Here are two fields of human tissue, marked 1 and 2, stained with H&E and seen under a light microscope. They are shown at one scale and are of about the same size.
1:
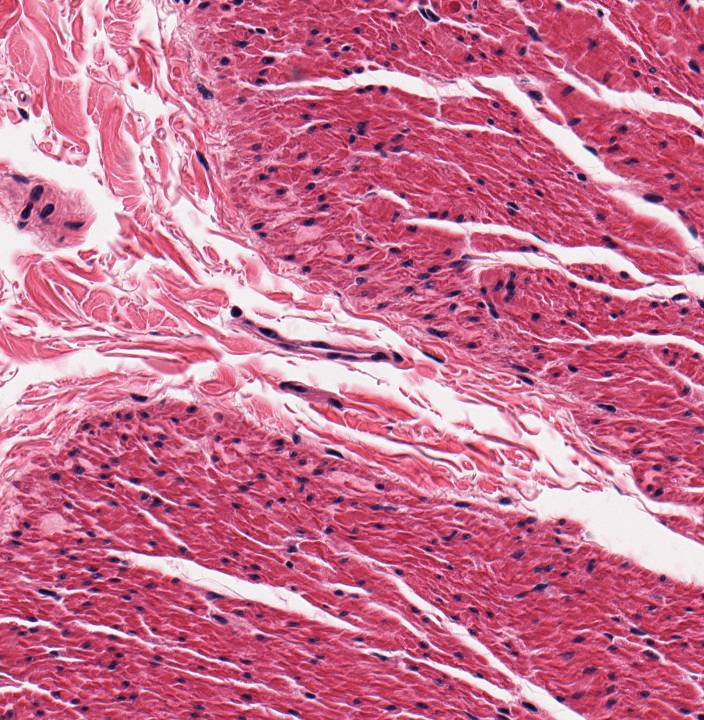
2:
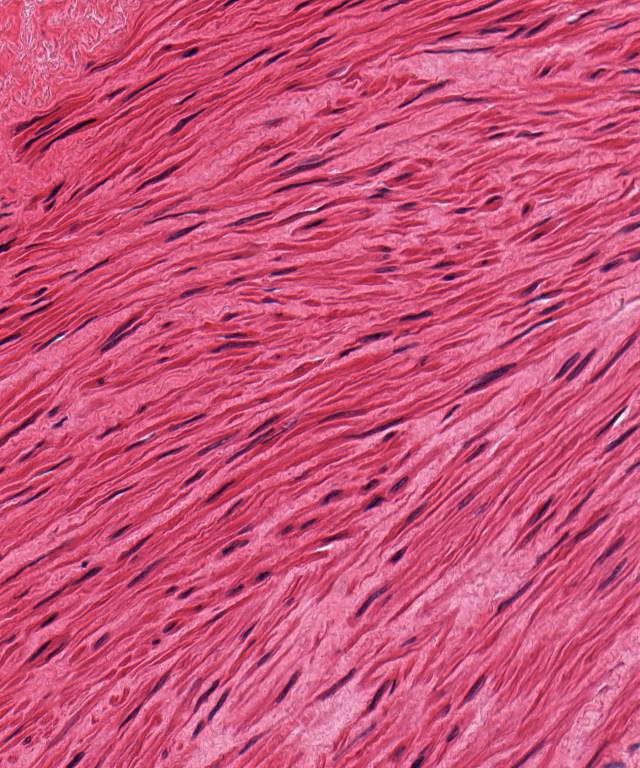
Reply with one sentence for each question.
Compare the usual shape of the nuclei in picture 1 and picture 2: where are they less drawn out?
It is picture 1 whose nuclei are the rounder.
